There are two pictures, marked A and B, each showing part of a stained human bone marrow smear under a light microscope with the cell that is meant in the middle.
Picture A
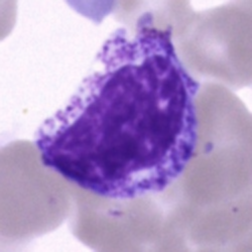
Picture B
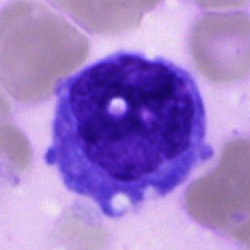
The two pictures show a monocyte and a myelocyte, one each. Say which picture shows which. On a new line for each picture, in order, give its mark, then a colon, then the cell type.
A: myelocyte
B: monocyte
